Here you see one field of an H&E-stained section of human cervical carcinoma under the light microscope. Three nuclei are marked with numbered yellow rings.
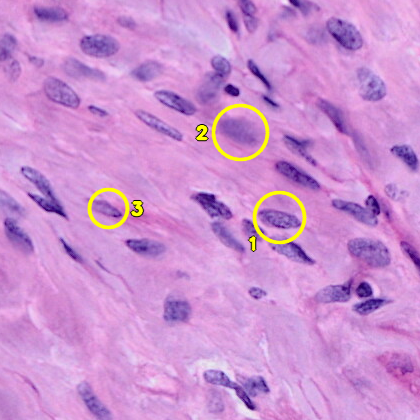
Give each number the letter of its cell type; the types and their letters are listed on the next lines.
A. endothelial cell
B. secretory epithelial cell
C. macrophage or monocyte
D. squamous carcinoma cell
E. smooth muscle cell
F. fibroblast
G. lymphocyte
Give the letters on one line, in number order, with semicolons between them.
F; F; E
